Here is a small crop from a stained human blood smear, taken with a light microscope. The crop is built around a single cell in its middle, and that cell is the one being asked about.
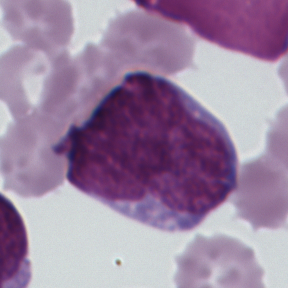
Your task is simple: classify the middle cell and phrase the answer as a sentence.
The cell found in the middle of this crop is a myeloblast.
